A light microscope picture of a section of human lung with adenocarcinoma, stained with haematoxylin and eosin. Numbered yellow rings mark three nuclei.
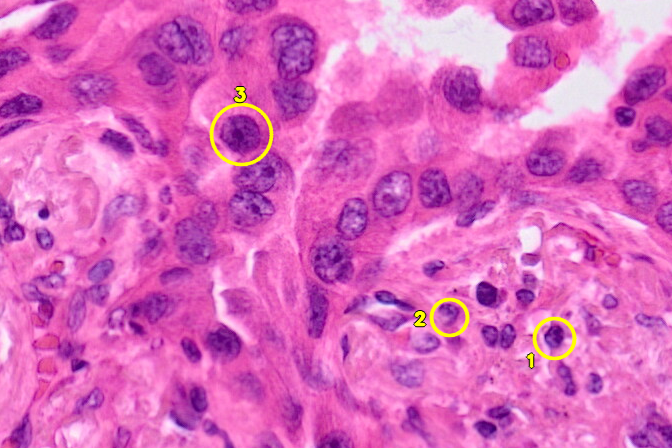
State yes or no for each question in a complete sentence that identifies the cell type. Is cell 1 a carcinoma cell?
No, the marked cell 1 is not a carcinoma cell, being instead a plasma cell.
